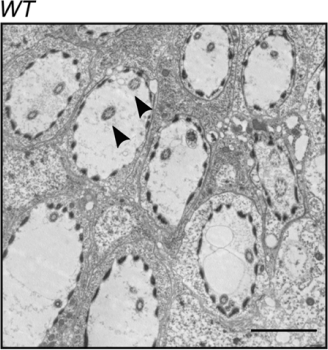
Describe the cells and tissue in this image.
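This electron micrograph shows a cross-section through a chordotonal organ, with many sensory units cut across side by side. Each unit has a large oval pale lumen bordered by a ring of evenly spaced, dark electron-dense rods. Inside most lumens lie one or two small round ciliary cross-sections with a dense rim. Between the lumens lies grey, granular cytoplasm of surrounding cells with membranes and small organelles.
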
